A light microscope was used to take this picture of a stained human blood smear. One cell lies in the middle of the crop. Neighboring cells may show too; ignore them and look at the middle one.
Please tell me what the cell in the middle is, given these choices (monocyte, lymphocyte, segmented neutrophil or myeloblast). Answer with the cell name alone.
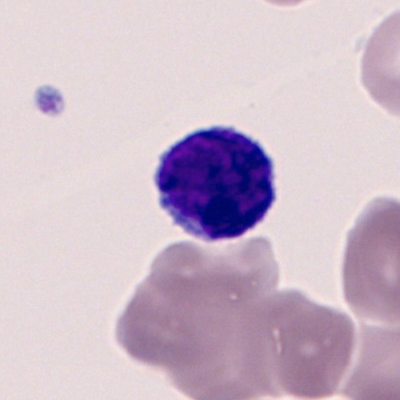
lymphocyte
